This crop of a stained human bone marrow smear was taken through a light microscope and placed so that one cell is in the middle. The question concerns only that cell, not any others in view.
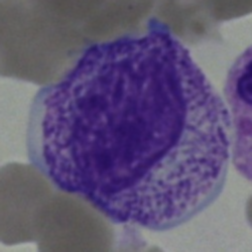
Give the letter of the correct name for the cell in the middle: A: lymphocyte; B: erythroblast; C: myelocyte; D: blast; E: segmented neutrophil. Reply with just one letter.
C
